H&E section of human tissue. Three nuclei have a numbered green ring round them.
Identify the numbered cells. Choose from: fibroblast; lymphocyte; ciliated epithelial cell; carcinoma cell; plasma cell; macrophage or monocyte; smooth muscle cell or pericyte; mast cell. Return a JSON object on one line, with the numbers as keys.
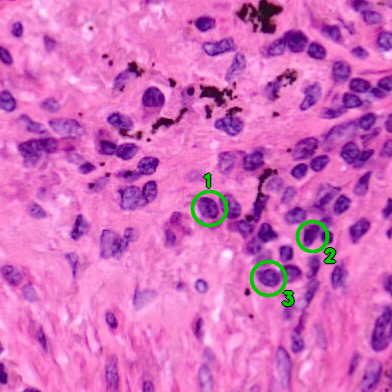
{"1": "plasma cell", "2": "lymphocyte", "3": "lymphocyte"}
